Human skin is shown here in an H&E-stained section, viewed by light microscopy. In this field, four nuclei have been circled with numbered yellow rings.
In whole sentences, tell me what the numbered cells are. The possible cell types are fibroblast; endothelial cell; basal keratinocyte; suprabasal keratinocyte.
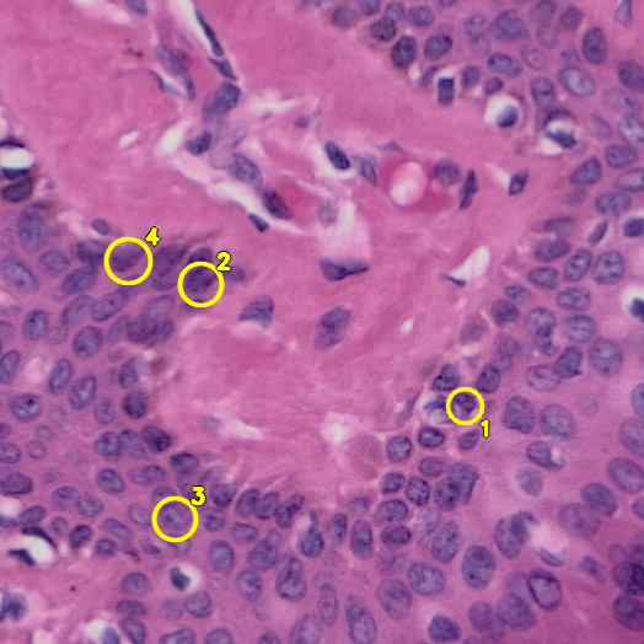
Cells 1, 2 and 4 are basal keratinocytes. Cell 3 is a suprabasal keratinocyte.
